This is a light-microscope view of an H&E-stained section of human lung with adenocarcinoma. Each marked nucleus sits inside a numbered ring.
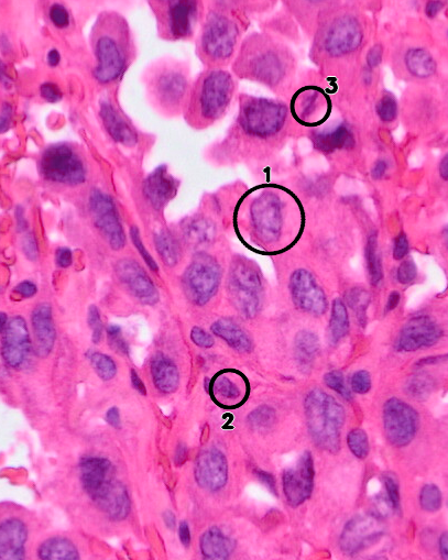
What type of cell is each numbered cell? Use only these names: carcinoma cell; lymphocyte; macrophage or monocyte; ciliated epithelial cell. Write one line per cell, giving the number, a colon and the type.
1: carcinoma cell
2: macrophage or monocyte
3: carcinoma cell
